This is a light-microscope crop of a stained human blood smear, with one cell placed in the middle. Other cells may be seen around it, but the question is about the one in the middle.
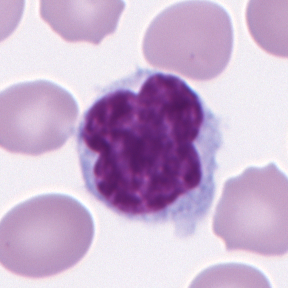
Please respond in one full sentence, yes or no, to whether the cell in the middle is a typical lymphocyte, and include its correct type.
No, it is a hairy cell that sits in the middle, not a typical lymphocyte.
